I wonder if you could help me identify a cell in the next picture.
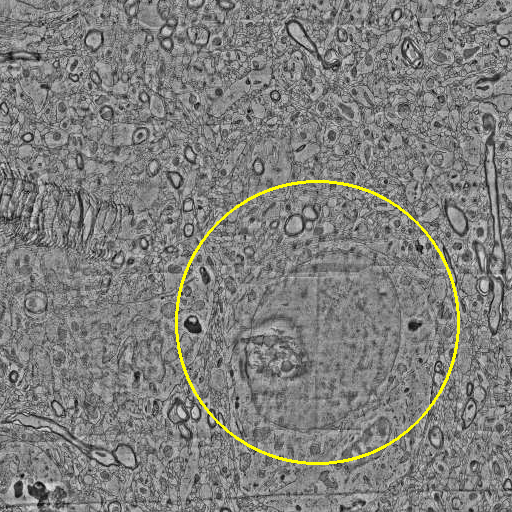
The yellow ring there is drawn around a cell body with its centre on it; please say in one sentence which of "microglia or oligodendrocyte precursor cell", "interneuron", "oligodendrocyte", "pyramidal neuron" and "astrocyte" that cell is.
The yellow ring is centred on a pyramidal neuron.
